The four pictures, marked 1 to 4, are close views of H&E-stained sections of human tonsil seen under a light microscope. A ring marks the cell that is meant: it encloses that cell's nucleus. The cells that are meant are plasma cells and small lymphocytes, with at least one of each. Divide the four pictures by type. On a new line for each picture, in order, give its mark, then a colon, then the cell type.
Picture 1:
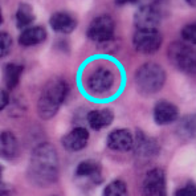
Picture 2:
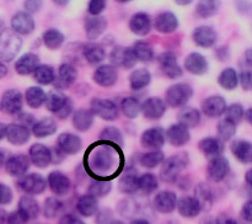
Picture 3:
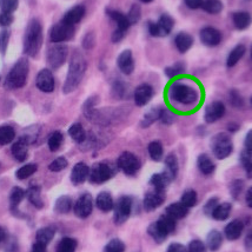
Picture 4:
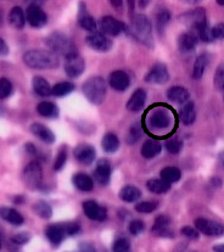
1: plasma cell
2: small lymphocyte
3: plasma cell
4: plasma cell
